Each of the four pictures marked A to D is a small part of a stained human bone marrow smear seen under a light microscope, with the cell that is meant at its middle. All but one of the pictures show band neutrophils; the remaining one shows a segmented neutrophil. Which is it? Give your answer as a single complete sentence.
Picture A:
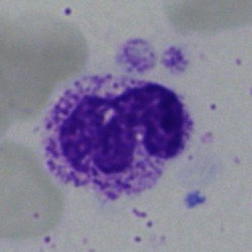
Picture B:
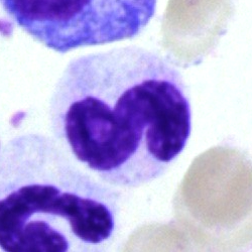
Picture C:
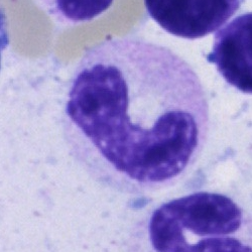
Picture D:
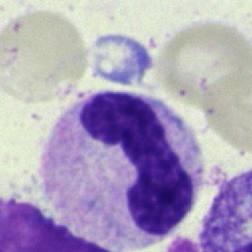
The picture with the segmented neutrophil is A.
